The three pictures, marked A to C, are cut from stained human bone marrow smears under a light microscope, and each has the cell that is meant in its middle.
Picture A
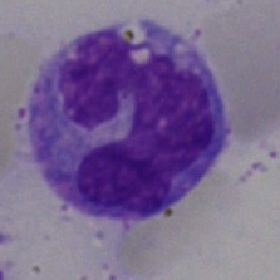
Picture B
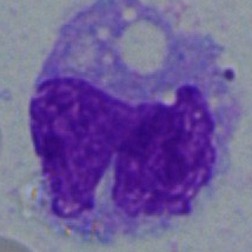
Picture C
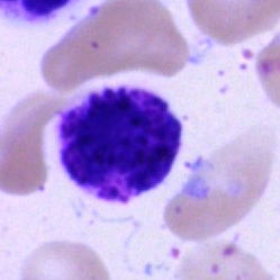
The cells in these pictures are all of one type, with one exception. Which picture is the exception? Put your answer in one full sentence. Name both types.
The different one is picture C; it shows a basophil, whereas all the others show monocytes.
